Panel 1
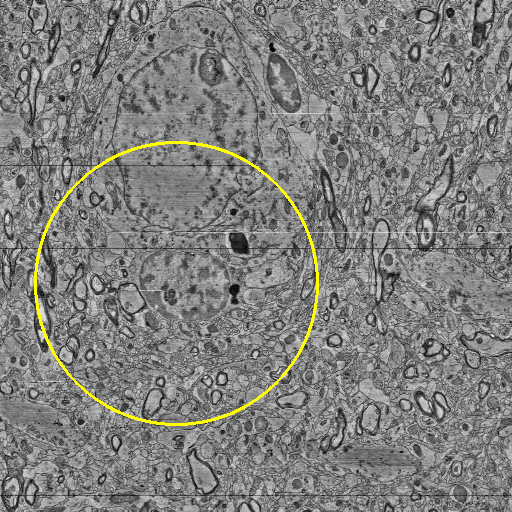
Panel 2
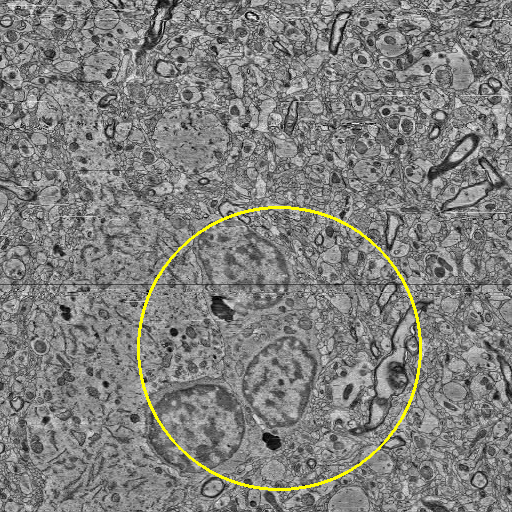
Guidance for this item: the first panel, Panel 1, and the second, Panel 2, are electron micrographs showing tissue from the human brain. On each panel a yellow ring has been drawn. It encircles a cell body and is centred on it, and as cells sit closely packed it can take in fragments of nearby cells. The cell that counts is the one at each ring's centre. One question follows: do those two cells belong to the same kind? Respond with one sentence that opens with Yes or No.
Yes, the cells at the ring centres in Panel 1 and Panel 2 are of one kind.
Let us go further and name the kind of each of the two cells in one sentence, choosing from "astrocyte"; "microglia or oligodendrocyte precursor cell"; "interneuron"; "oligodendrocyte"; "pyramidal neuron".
Both cells are the same kind, each one being an oligodendrocyte.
